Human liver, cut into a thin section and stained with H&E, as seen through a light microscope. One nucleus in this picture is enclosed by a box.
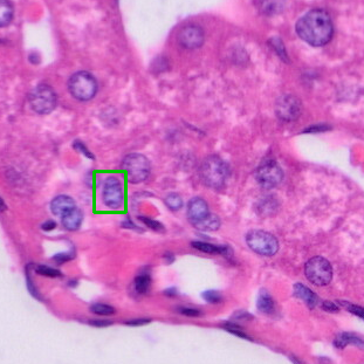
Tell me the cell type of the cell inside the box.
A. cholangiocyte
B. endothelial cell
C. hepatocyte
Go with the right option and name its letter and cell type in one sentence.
It is option A that correctly calls the cell inside the box a cholangiocyte.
